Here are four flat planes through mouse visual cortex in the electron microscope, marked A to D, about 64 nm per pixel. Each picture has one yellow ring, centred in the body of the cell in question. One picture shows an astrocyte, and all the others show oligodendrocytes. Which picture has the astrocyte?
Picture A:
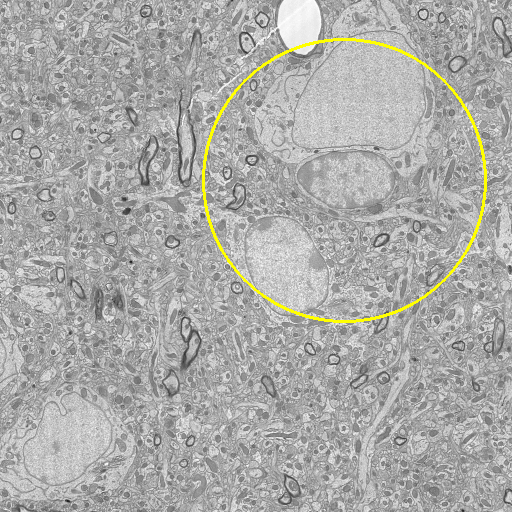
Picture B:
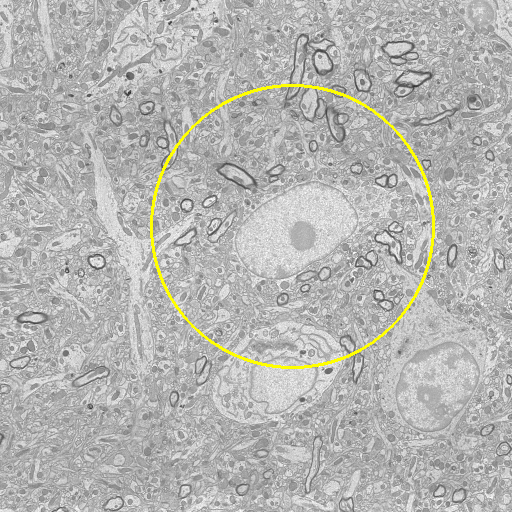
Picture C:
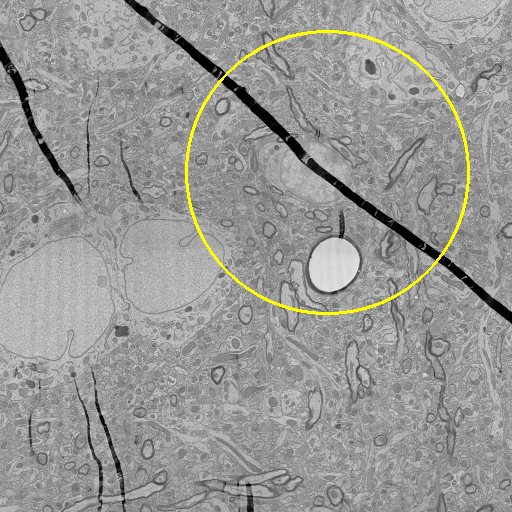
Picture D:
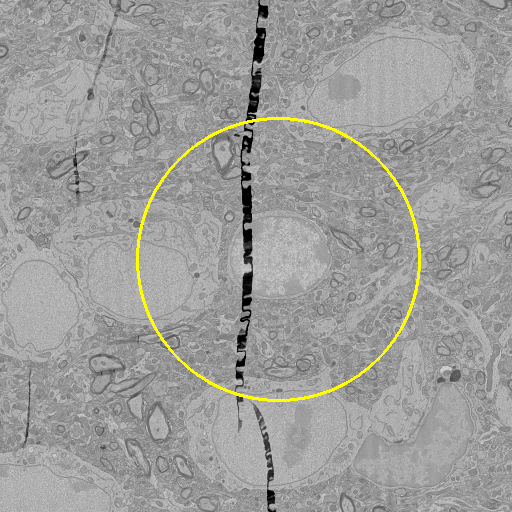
The picture with the astrocyte is B.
